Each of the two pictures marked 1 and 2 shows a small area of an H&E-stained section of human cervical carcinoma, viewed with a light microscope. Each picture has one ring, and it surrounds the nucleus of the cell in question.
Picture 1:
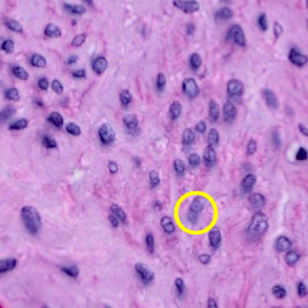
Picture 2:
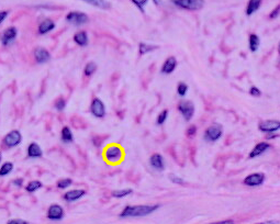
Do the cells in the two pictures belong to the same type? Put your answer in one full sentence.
Yes, both cells are smooth muscle cells.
